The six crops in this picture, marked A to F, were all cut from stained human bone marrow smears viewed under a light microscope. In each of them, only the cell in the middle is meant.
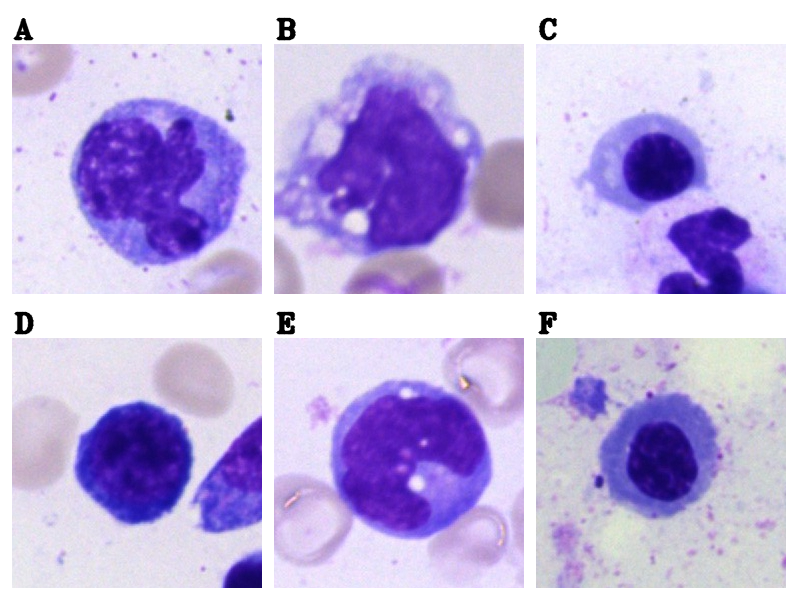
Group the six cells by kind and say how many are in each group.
monocyte: 3
normoblast: 3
